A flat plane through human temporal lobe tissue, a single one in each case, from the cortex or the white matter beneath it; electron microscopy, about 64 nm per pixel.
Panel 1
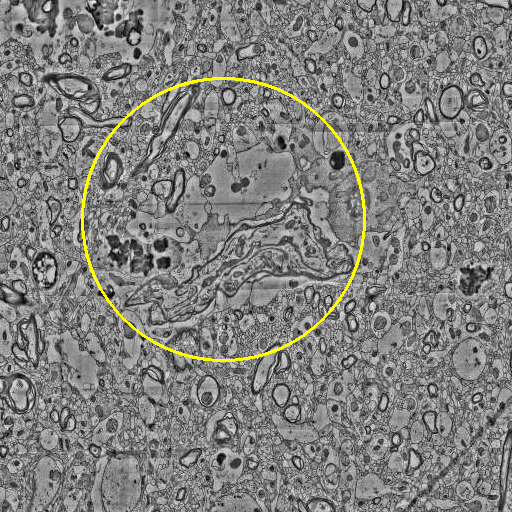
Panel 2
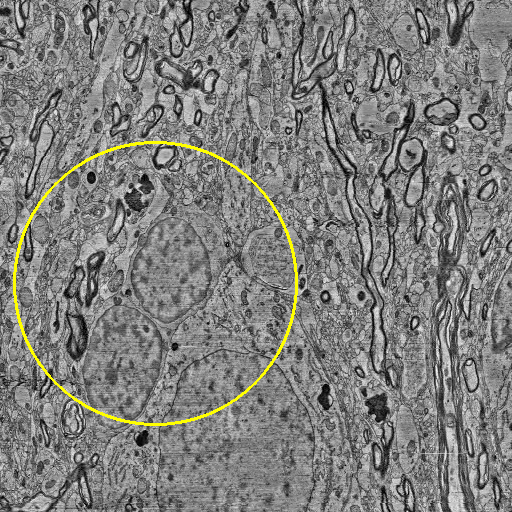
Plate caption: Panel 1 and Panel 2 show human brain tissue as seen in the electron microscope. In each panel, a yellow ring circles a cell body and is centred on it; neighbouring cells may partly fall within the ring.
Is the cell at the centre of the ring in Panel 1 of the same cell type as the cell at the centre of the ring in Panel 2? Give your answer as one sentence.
Yes, the two cells are of the same type.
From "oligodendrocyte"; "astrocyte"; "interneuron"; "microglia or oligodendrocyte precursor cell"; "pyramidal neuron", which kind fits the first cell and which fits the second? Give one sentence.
Each cell, in the first picture and the second, is an oligodendrocyte.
